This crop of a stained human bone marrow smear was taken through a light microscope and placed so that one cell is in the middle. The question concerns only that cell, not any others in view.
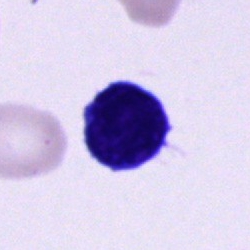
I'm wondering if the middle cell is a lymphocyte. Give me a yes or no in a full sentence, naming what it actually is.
Yes, the cell found in the center of the crop is a lymphocyte.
